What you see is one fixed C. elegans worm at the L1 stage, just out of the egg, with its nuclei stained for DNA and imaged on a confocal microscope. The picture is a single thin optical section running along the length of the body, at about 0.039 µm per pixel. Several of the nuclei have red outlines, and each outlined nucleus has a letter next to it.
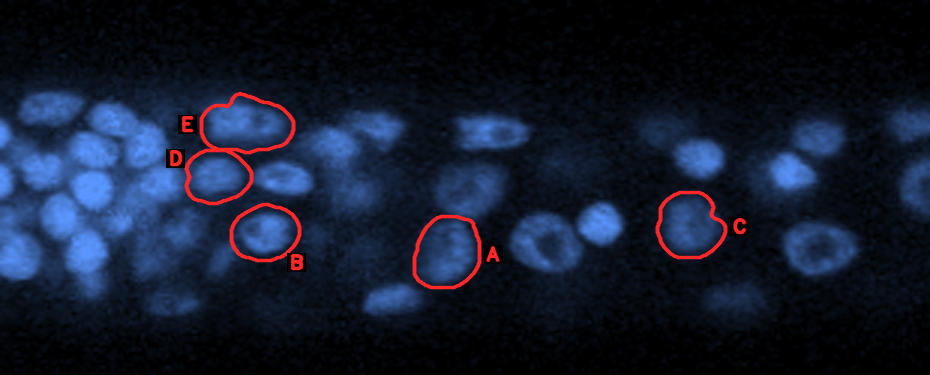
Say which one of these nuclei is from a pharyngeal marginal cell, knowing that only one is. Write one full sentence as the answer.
Nucleus B belongs to a pharyngeal marginal cell.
